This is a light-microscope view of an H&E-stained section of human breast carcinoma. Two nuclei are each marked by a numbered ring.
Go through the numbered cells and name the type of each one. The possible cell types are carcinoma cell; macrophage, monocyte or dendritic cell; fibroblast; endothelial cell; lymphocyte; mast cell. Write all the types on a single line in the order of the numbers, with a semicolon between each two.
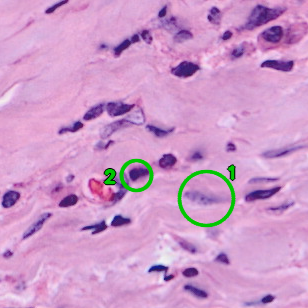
fibroblast; lymphocyte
